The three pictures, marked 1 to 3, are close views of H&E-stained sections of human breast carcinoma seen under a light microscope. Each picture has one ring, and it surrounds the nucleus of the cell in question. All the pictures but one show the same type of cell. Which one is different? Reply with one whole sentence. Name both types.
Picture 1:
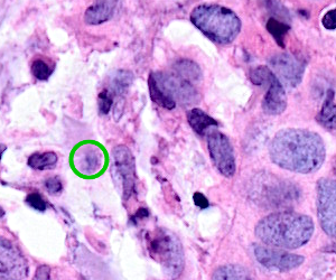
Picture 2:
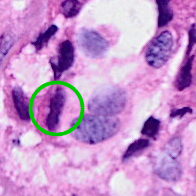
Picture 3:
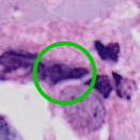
The others show carcinoma cells, but picture 1 shows a “macrophage, monocyte or dendritic cell”.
